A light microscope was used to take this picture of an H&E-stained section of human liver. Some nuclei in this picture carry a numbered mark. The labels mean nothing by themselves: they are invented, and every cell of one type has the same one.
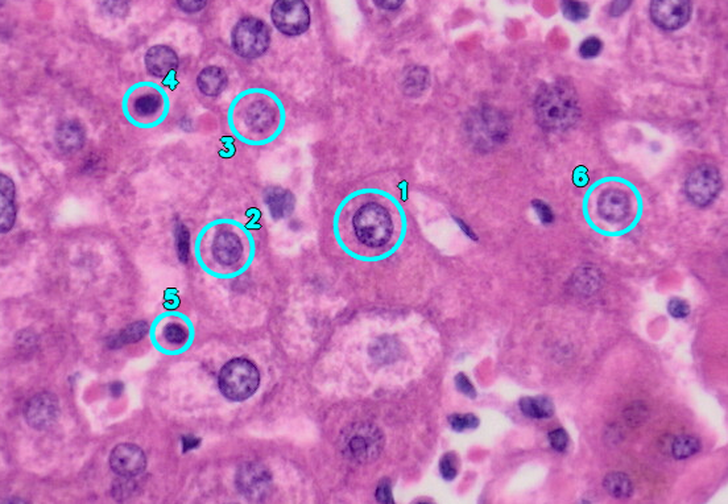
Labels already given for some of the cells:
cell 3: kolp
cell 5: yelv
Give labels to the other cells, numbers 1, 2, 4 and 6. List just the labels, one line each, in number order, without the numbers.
kolp
kolp
yelv
kolp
